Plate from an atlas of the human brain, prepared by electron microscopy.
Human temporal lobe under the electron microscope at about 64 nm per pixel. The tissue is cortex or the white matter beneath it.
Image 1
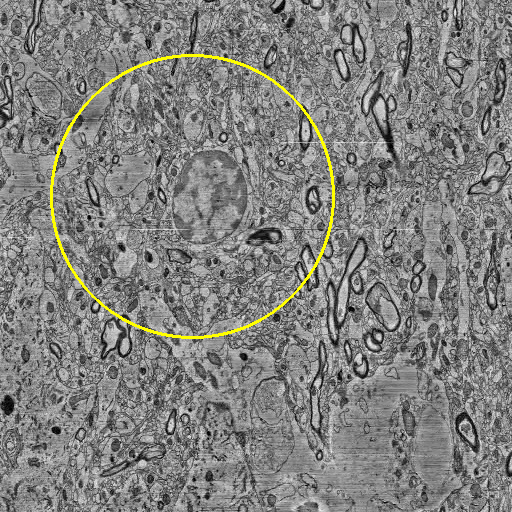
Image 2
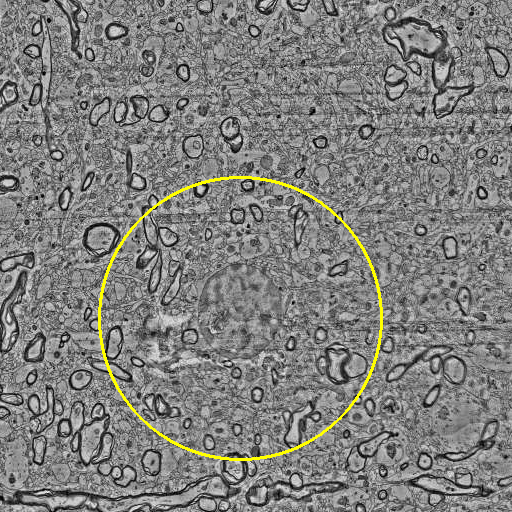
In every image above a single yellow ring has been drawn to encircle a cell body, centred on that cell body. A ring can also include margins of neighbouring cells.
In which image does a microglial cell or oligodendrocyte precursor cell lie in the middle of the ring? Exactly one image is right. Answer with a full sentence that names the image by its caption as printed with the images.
Image 1 holds the requested cell at the very centre of its ring.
